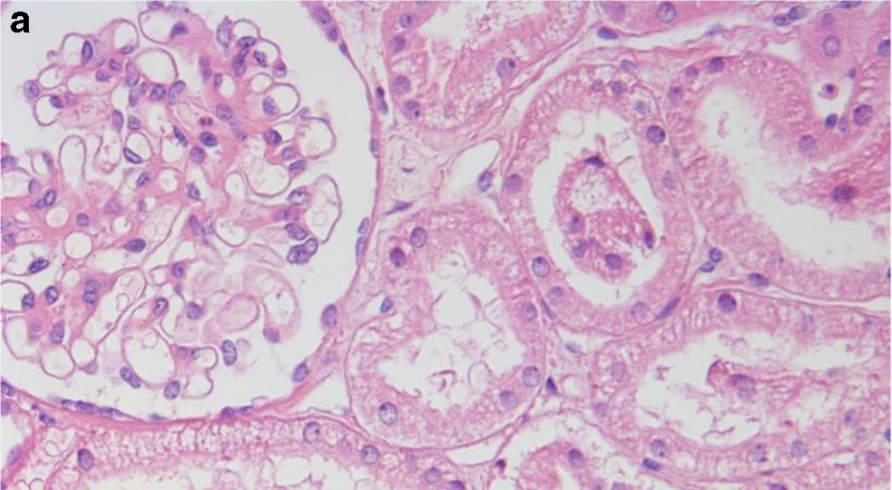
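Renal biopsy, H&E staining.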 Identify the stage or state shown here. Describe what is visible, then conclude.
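Tubules beside the glomerulus are lined by cells with pale, finely vacuolated cytoplasm. The cells lining these tubules look swollen.
Conclusion: hydropic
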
